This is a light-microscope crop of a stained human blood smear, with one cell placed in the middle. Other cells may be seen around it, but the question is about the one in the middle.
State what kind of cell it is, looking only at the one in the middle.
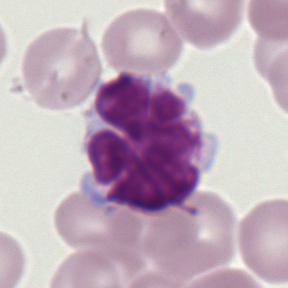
large granular lymphocyte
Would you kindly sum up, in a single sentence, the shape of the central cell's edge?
An uneven margin is present, with either ragged stretches or outward projections.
